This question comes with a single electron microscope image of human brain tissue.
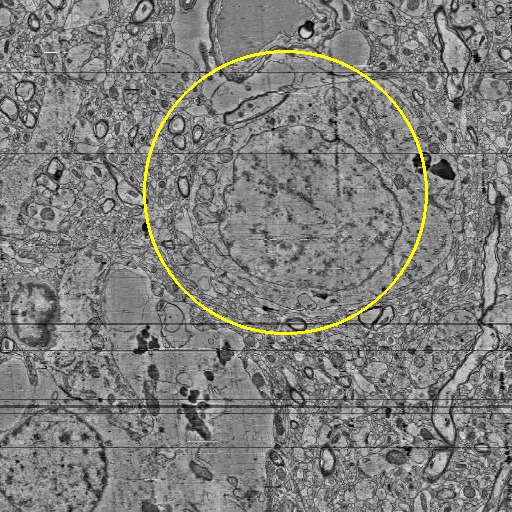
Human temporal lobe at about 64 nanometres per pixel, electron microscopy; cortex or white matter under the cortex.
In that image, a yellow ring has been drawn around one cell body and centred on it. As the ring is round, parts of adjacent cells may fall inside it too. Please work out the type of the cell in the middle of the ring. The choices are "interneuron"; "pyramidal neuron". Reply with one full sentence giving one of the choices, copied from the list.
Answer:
Of the choices, a pyramidal neuron is the cell sitting in the middle of the ring.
